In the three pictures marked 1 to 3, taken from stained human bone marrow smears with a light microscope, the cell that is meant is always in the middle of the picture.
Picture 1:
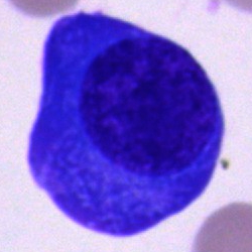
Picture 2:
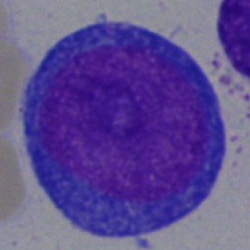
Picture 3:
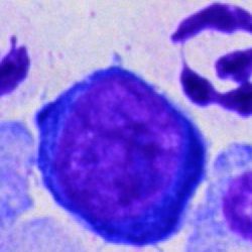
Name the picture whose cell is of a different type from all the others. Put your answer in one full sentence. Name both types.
Picture 1 differs, because its cell is a plasma cell and the rest are proerythroblasts.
